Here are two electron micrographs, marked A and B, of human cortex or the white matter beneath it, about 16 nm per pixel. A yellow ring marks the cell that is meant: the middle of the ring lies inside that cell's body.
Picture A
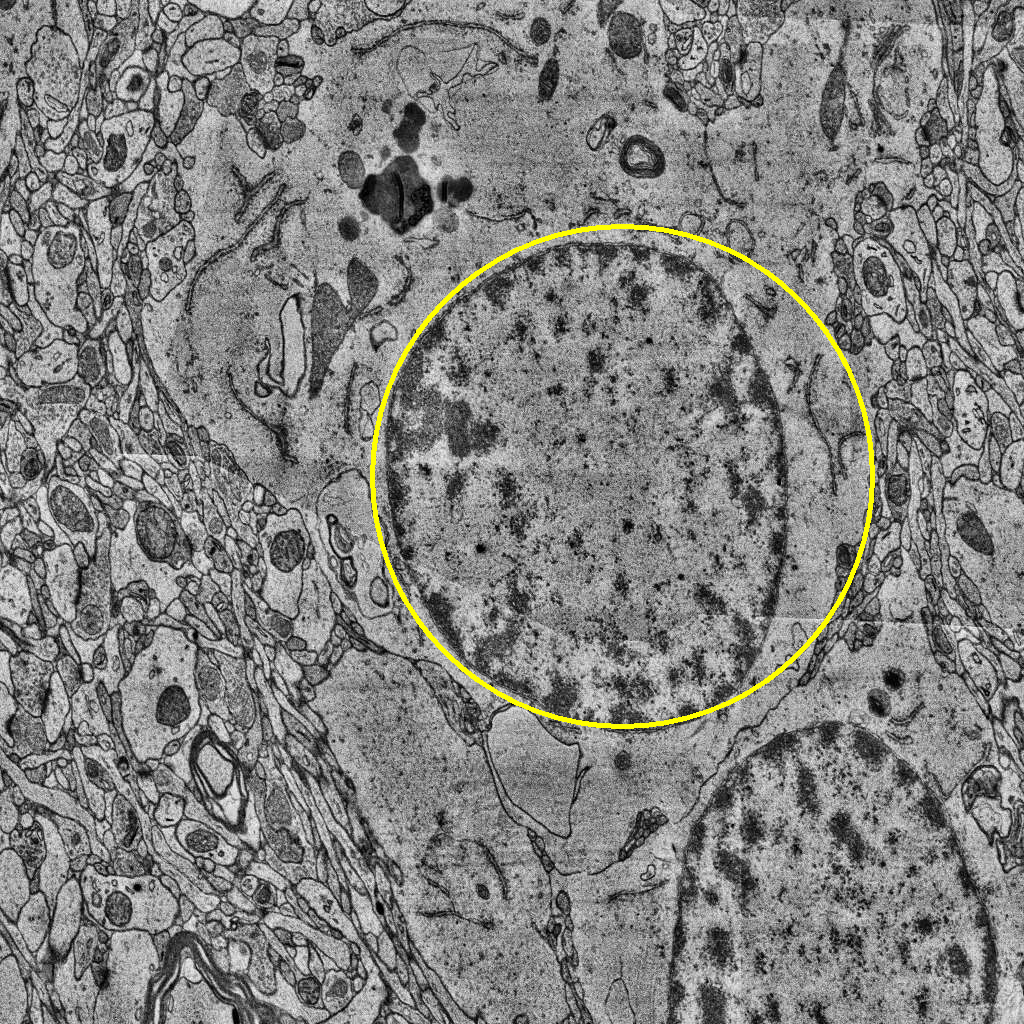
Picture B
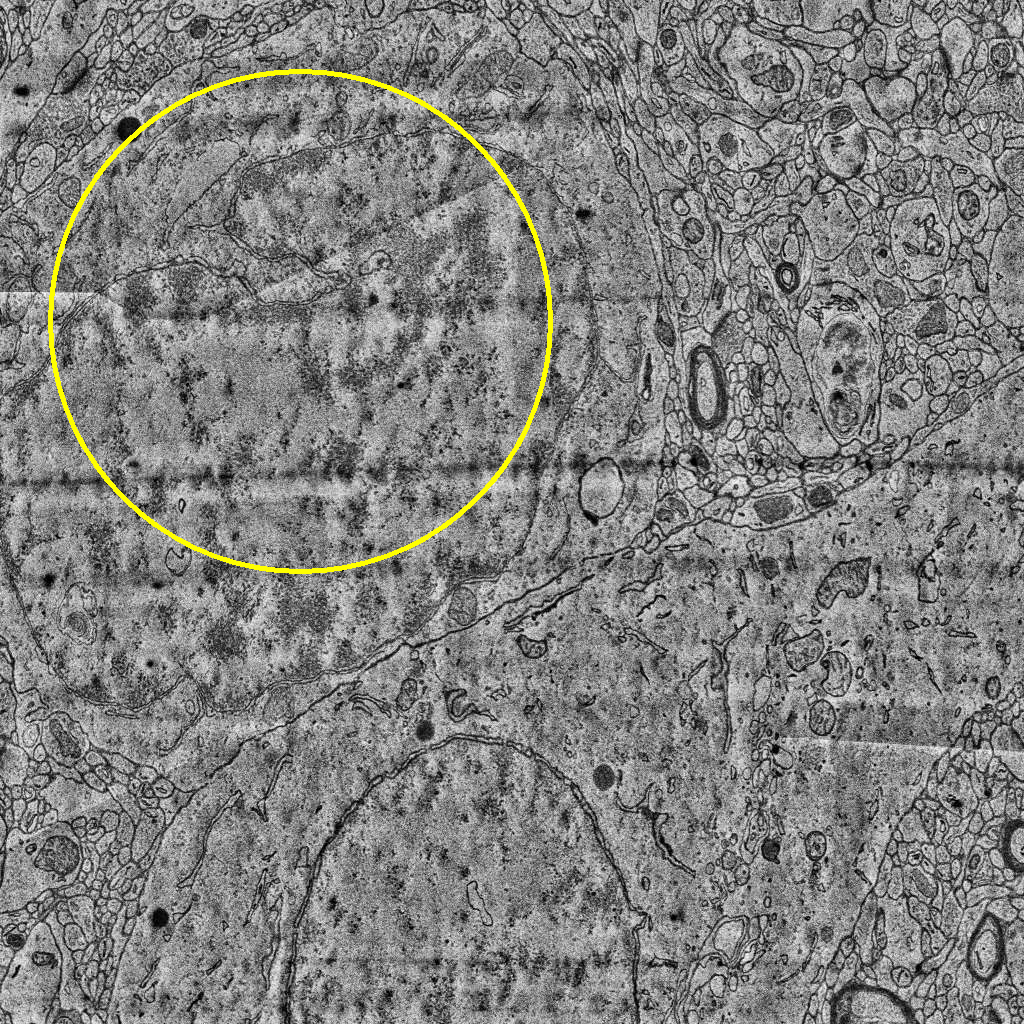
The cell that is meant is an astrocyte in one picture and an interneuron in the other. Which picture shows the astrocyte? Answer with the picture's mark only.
A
